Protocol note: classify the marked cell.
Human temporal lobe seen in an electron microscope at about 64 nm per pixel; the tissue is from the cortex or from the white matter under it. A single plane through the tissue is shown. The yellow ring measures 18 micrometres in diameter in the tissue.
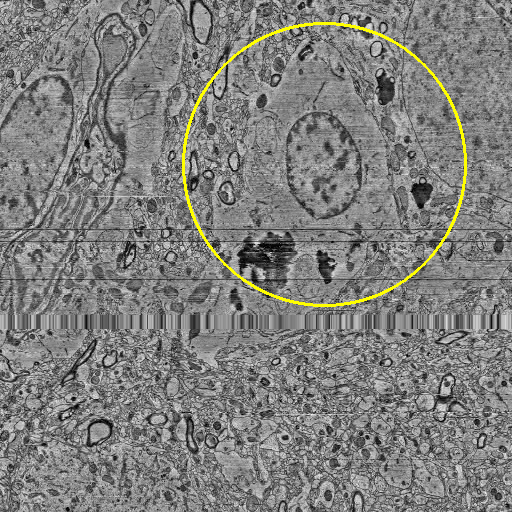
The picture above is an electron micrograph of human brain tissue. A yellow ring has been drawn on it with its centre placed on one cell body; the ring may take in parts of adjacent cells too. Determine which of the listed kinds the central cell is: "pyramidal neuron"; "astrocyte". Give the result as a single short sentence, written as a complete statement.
The central cell is an astrocyte.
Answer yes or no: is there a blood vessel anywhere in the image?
Yes, a blood vessel shows in the picture.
